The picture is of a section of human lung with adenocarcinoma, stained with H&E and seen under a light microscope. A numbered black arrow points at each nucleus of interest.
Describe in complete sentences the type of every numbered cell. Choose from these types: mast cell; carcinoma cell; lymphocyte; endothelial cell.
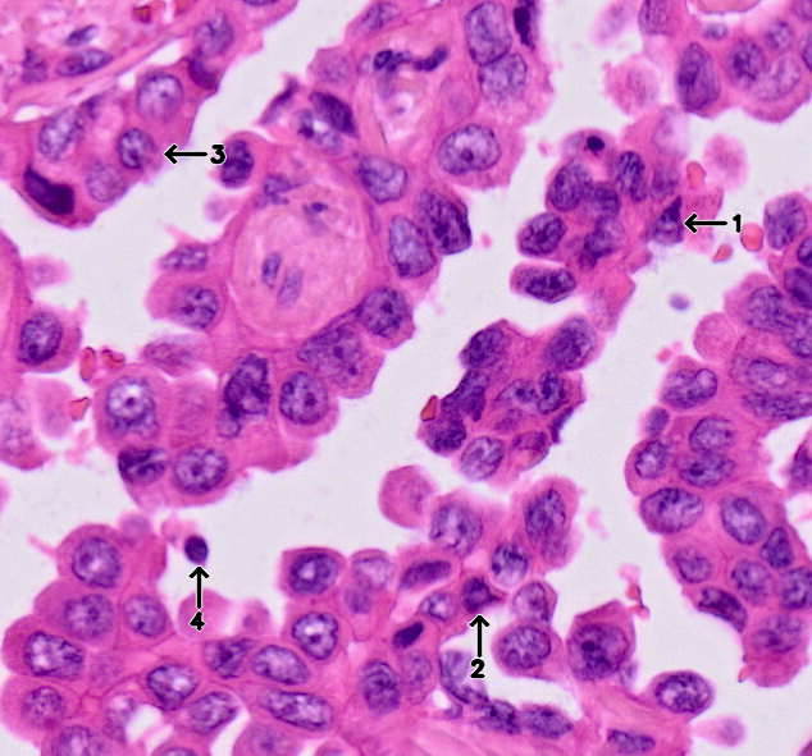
Cell 1 is a carcinoma cell, cell 2 is a carcinoma cell, cell 3 is a carcinoma cell and cell 4 is a lymphocyte.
